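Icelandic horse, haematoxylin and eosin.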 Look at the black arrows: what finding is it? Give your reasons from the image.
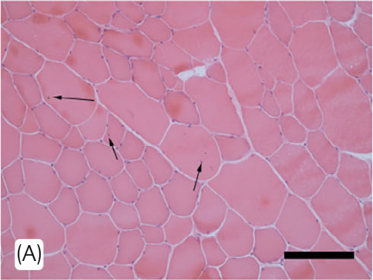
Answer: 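Internalised nuclei. The arrows point to small dark dots lying inside the fibres rather than at their edge. Most other nuclei sit at the periphery of the polygonal fibres.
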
